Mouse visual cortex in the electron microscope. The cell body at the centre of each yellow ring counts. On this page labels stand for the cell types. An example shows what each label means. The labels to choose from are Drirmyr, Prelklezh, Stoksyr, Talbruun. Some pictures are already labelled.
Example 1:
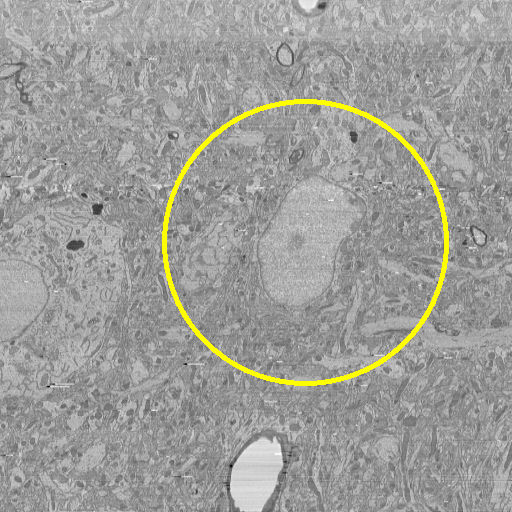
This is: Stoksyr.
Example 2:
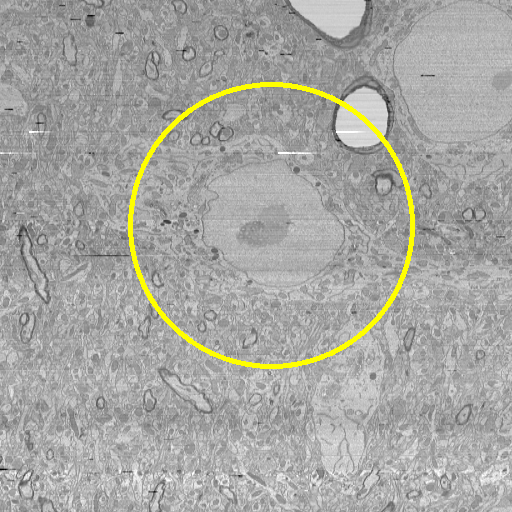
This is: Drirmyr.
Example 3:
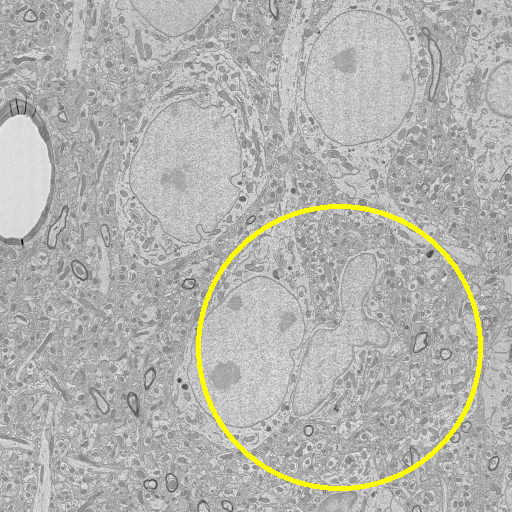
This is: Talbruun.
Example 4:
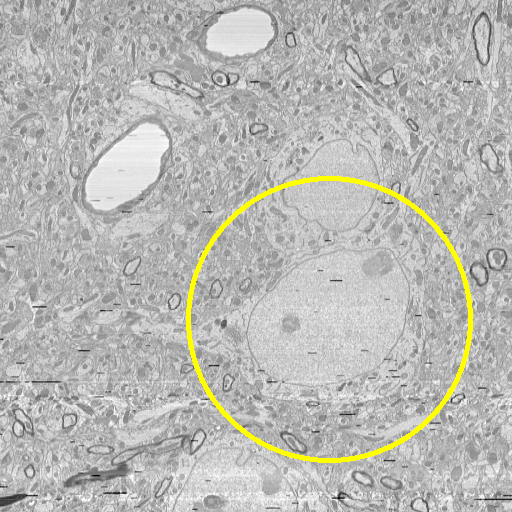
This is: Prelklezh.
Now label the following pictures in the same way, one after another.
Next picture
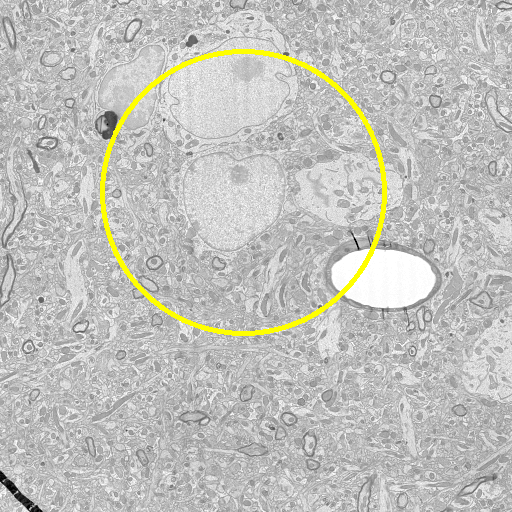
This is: Stoksyr.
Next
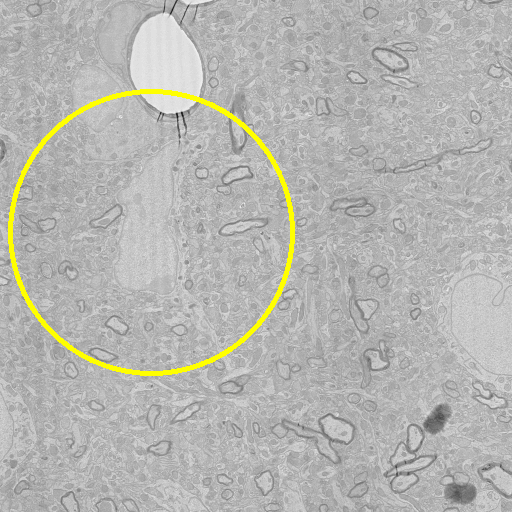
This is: Talbruun.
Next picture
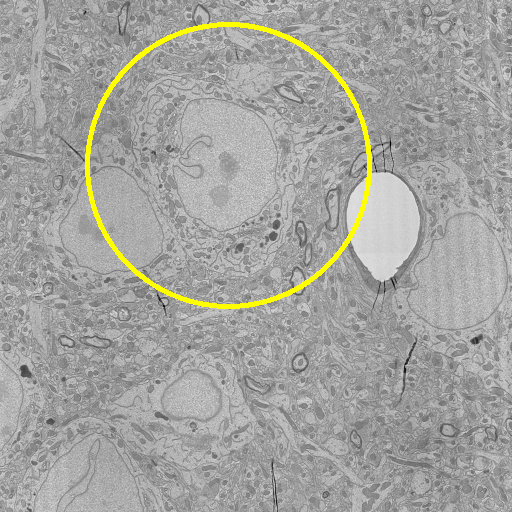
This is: Drirmyr.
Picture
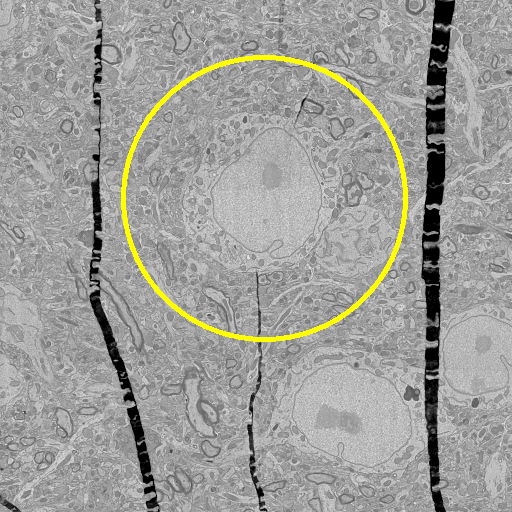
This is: Drirmyr.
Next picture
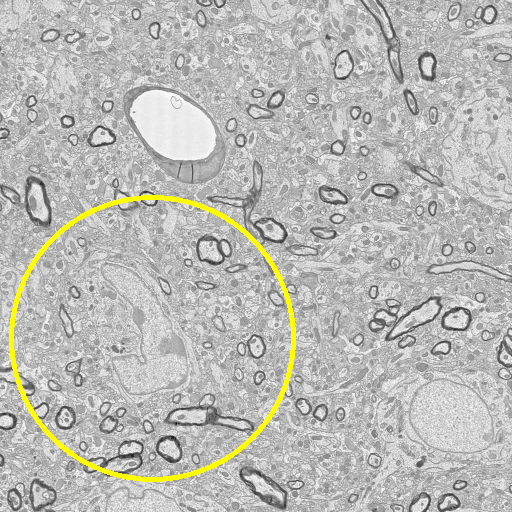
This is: Talbruun.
